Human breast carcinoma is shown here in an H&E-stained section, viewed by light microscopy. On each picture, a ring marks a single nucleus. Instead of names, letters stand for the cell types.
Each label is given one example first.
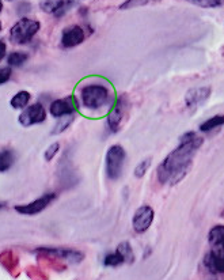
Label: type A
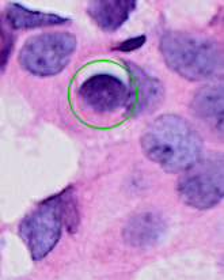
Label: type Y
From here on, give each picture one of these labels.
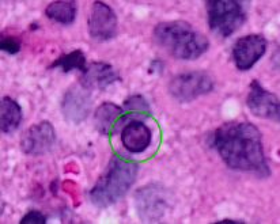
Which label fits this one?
type Y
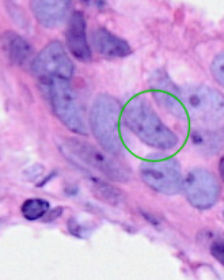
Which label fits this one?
type Y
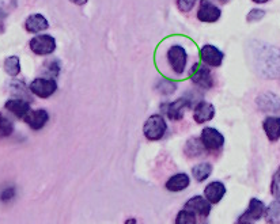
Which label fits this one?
type A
